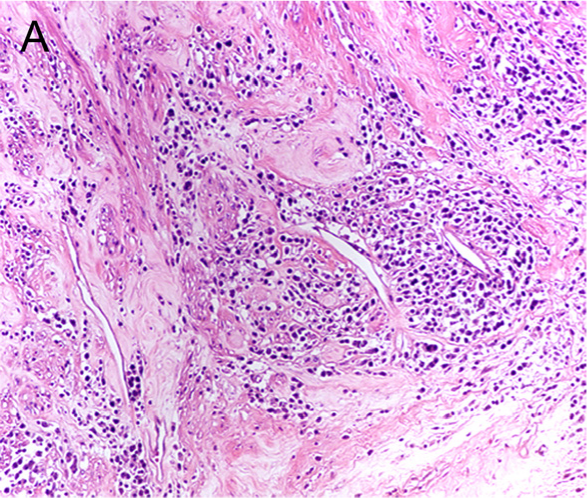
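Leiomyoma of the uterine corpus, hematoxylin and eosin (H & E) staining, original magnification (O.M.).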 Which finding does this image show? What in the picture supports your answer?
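Sheets of small dark round nuclei fill much of the field. Pink fibrous and smooth muscle bundles are split apart by these cells. The cells spread between bundles rather than forming a rounded nodule. So: Diffuse proliferation of lymphoid cells dissecting the muscle fiber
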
